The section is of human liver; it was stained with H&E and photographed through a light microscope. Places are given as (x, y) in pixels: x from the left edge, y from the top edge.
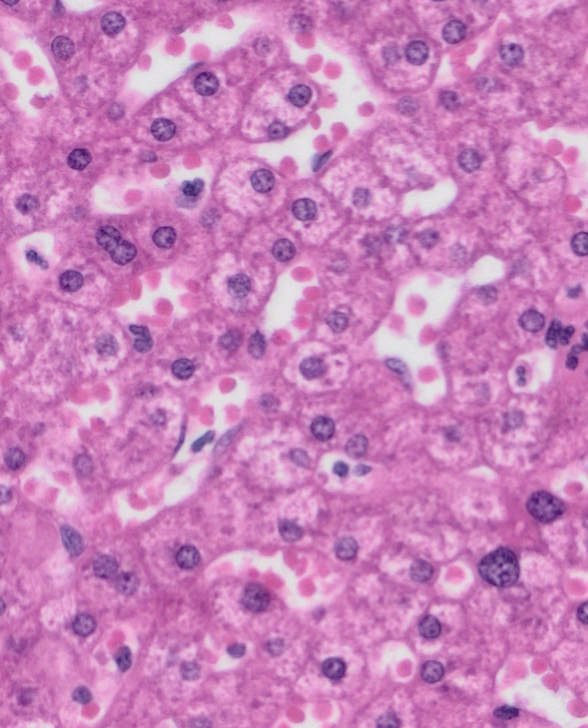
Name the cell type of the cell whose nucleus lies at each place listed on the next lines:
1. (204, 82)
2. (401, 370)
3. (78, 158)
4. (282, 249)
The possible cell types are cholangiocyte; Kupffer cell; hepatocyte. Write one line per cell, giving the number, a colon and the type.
1: hepatocyte
2: Kupffer cell
3: hepatocyte
4: hepatocyte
